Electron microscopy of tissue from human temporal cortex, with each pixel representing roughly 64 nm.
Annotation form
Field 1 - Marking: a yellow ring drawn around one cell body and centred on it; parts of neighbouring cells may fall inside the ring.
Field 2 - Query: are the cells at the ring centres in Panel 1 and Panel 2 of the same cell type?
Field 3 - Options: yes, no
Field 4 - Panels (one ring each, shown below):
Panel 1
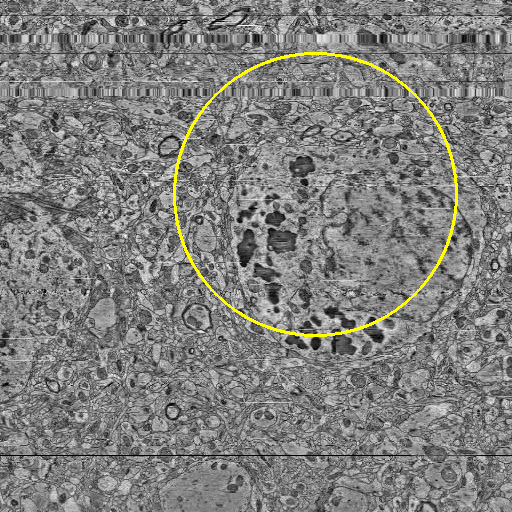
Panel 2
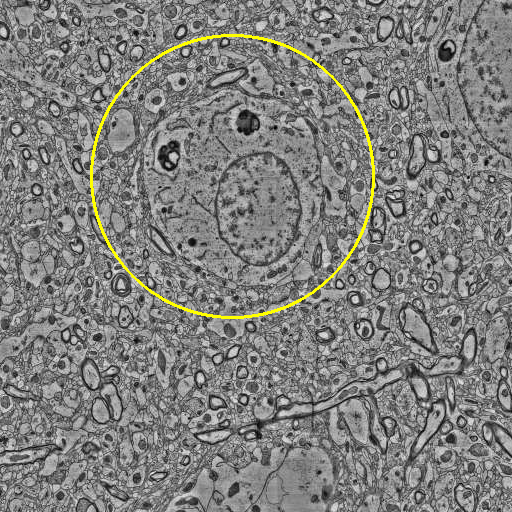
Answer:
no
